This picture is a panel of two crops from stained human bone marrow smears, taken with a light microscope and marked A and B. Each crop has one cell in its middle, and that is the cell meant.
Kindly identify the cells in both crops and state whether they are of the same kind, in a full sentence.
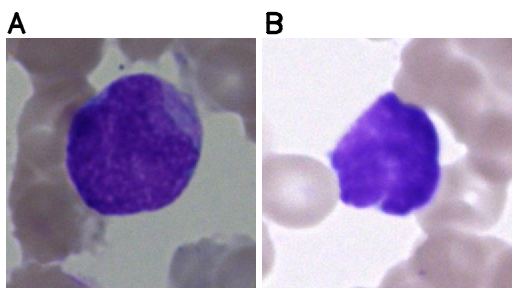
No, crop A contains a blast, whereas crop B contains a lymphocyte.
